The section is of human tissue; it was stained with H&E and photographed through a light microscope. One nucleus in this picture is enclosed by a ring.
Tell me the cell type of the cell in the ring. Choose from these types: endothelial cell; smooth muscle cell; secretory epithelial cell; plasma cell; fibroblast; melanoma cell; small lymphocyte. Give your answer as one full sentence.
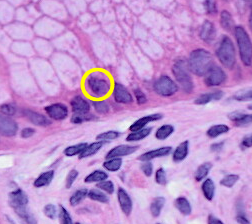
In terms of identity, the cell in the ring is a secretory epithelial cell.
